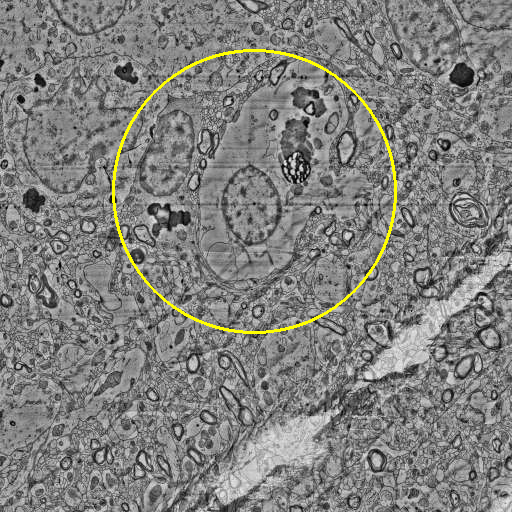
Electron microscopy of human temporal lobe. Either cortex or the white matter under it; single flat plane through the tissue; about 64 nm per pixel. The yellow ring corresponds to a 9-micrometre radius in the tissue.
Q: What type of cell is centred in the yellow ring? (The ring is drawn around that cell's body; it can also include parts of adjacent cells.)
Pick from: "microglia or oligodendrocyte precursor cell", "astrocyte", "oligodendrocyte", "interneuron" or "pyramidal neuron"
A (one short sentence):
The yellow ring is centred on an astrocyte.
